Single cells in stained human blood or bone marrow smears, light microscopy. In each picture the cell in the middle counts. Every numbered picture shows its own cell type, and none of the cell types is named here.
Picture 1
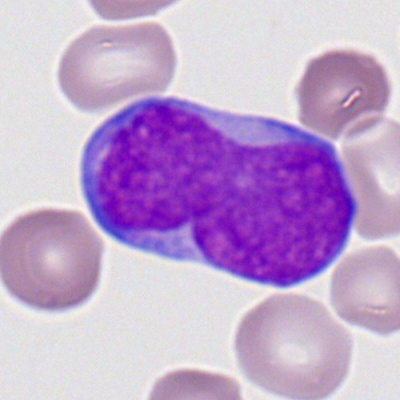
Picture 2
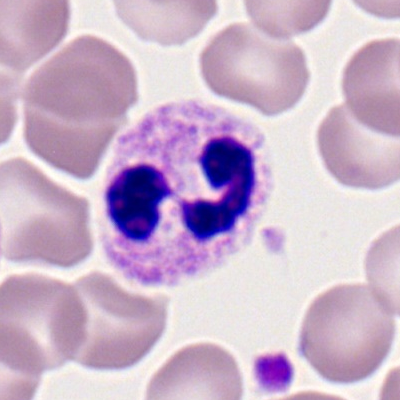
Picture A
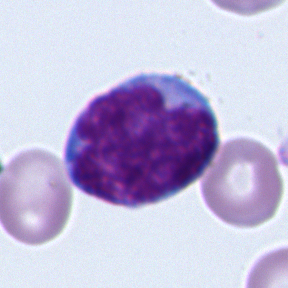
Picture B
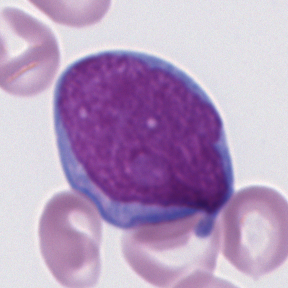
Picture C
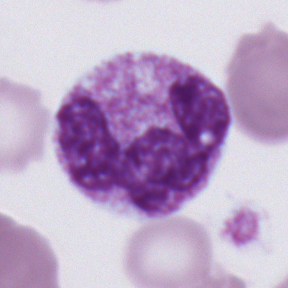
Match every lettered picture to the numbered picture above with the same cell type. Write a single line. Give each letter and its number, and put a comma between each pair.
A 1, B 1, C 2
